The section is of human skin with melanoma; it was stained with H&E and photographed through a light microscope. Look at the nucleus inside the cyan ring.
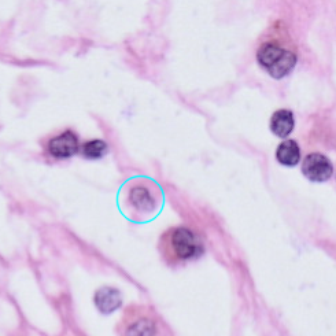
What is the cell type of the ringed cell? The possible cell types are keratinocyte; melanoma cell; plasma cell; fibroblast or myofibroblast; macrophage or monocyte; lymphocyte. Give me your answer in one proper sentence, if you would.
The classification of the ringed cell is as a macrophage or monocyte.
